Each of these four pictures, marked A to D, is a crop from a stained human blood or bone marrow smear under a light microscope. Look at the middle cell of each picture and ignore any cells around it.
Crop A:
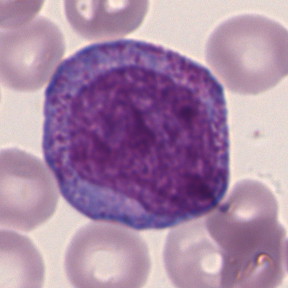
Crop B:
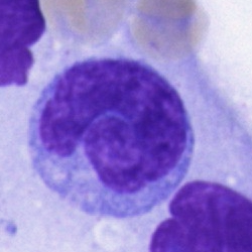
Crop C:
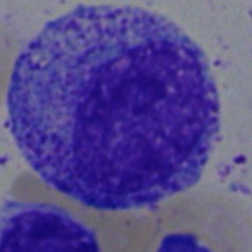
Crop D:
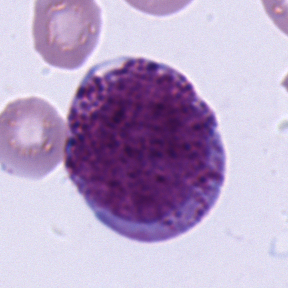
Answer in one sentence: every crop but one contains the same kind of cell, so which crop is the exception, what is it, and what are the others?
The different one is crop B, which is a monocyte; the rest all show promyelocytes.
